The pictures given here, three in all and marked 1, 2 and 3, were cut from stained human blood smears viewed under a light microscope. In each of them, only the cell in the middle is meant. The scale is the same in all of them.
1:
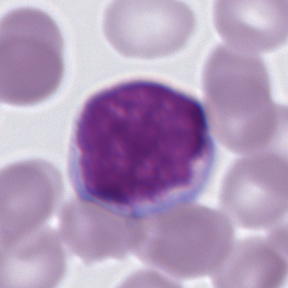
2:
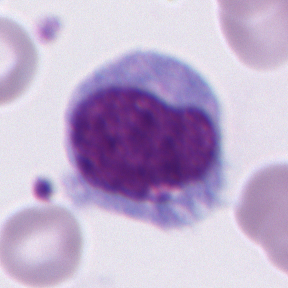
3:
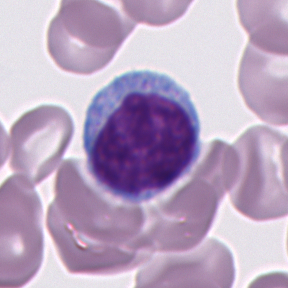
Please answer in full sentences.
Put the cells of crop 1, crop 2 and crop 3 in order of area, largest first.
Largest first: 2, 1, 3.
